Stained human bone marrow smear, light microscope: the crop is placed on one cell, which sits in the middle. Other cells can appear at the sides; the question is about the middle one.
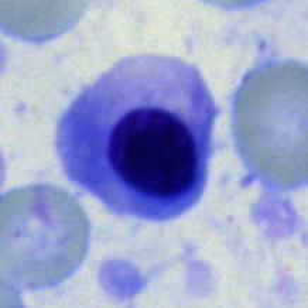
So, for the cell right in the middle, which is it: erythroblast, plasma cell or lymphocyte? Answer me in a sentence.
Framed in the middle of the crop is an erythroblast.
